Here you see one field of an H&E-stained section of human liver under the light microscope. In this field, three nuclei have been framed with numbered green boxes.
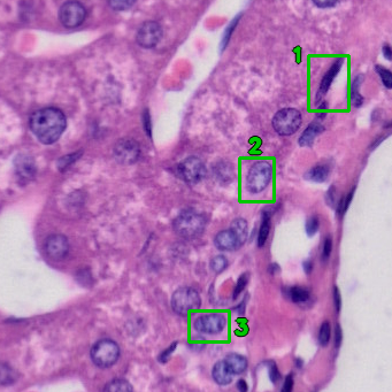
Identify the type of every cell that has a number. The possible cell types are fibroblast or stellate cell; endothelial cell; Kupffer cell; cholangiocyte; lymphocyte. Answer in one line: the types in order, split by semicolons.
fibroblast or stellate cell; cholangiocyte; cholangiocyte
